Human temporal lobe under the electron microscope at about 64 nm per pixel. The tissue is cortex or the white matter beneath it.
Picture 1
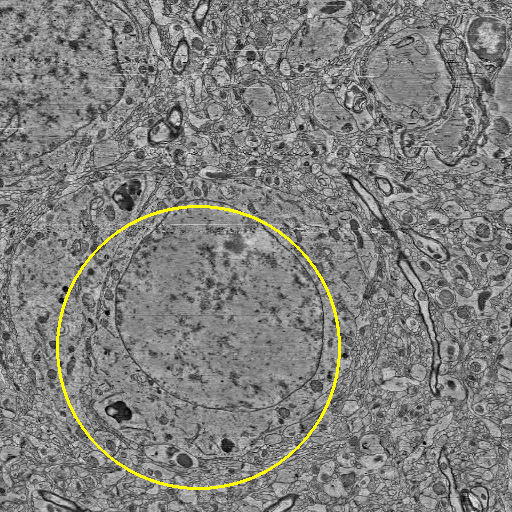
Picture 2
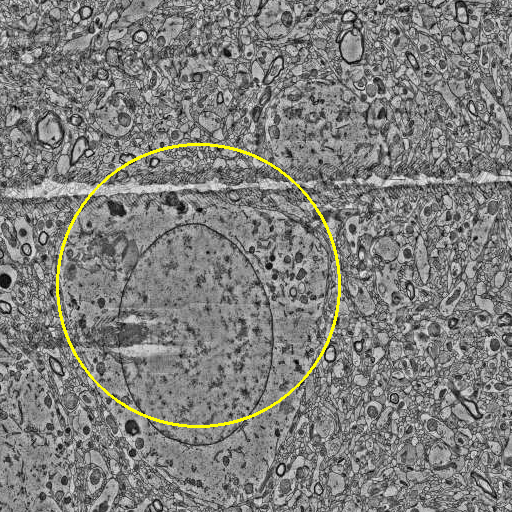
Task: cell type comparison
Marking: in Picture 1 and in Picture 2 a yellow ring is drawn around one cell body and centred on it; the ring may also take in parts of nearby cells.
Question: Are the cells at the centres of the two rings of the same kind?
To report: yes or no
yes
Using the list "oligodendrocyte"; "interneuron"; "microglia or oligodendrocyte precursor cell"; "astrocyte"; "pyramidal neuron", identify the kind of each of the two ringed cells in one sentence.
Each cell at the centre of a ring is a pyramidal neuron.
